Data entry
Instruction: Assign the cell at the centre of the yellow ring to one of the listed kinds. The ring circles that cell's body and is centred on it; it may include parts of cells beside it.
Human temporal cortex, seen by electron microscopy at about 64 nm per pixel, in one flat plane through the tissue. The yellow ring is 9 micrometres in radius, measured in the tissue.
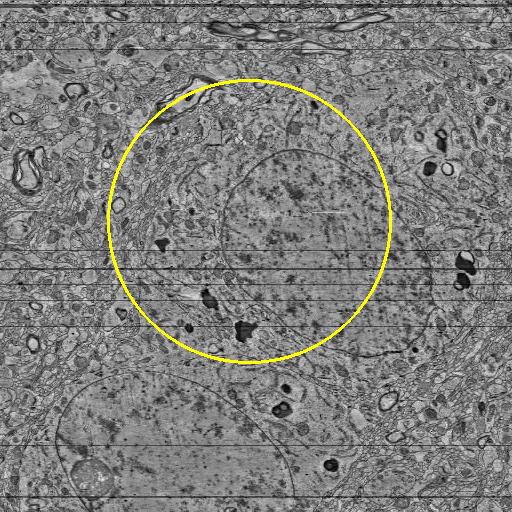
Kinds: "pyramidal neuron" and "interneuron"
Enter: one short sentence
The centre of the ring falls on a pyramidal neuron.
